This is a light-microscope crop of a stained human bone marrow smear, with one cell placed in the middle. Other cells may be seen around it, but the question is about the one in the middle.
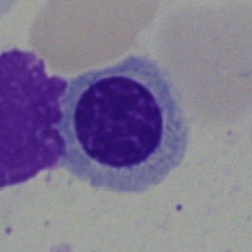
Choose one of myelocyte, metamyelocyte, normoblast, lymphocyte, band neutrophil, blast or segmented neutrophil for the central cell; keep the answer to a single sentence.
Regarding the central cell, it is a normoblast.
